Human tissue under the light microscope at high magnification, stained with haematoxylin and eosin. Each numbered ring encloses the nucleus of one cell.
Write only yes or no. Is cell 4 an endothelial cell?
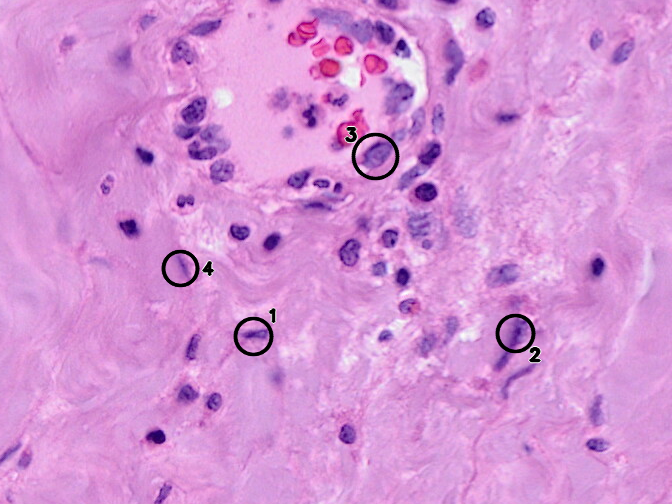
no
